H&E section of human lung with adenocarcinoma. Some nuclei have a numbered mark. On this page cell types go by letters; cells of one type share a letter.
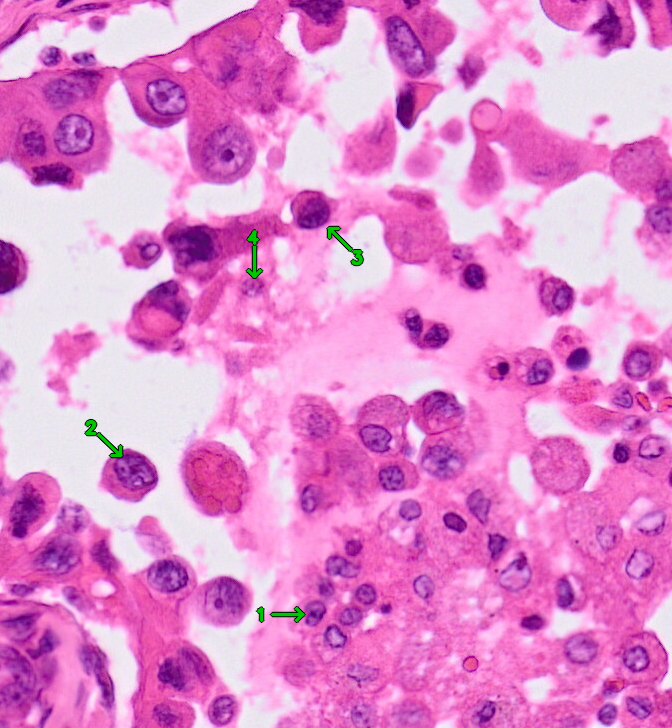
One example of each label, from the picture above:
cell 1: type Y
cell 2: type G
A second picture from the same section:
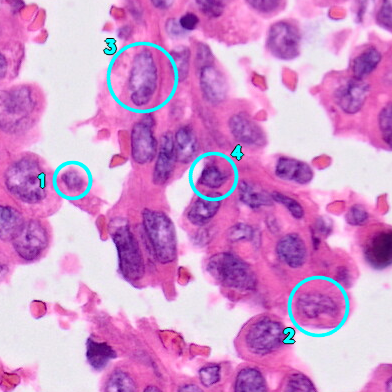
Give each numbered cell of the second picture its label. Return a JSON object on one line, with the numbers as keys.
{"1": "type Y", "2": "type G", "3": "type G", "4": "type G"}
